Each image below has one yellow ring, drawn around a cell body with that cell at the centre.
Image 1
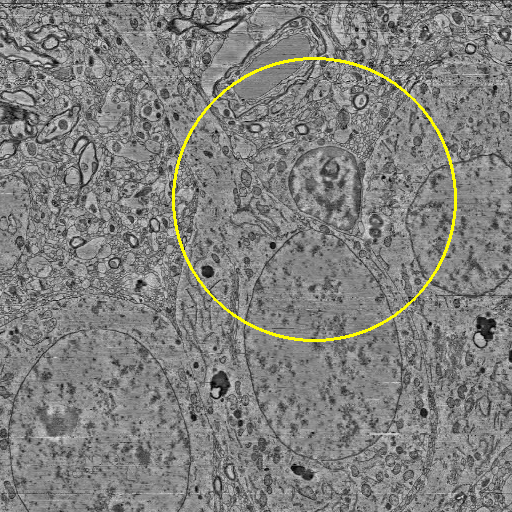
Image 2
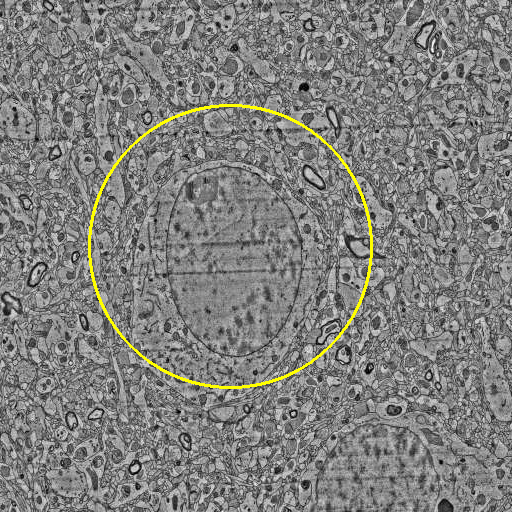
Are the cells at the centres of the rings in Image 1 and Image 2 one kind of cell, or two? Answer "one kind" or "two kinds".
two kinds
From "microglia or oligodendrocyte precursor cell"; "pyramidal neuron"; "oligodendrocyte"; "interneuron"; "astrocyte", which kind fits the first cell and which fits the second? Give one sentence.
The cell marked in the first picture is an oligodendrocyte, and the one marked in the second is a pyramidal neuron.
